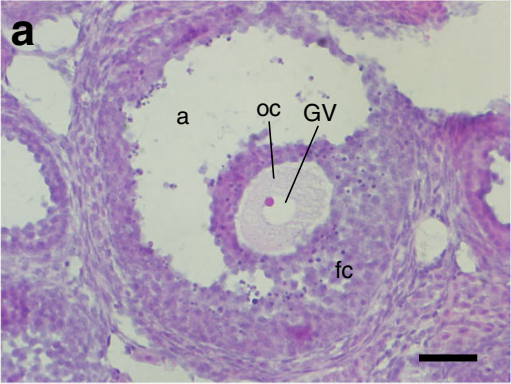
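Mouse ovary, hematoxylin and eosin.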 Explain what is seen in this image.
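A large clear, fluid-filled antrum occupies the upper part of the follicle. The oocyte sits eccentrically in a mound of follicle cells; its pale cytoplasm surrounds a large, clear germinal vesicle holding a small, dark pink nucleolus. Many layers of small follicle cells with dark purple round nuclei form the wall of the follicle around the antrum and oocyte, and flattened spindle-shaped stromal cells encircle the follicle on the outside. Neighbouring follicles are partly seen at the edges.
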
